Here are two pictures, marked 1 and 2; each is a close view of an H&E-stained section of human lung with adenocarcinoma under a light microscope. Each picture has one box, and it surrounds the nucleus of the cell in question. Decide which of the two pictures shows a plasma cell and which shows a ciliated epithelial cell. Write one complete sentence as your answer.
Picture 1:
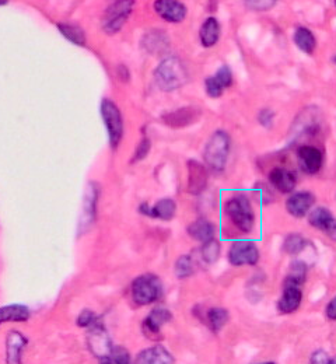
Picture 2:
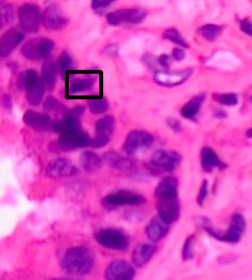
Picture 2 shows a ciliated epithelial cell, while picture 1 shows a plasma cell.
